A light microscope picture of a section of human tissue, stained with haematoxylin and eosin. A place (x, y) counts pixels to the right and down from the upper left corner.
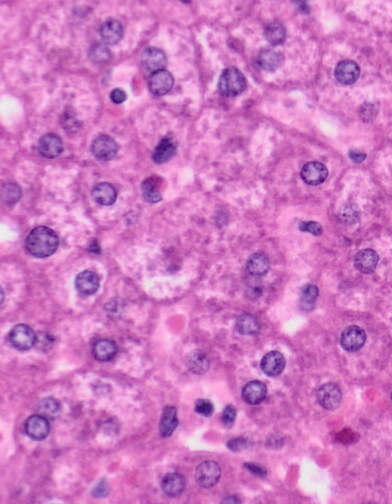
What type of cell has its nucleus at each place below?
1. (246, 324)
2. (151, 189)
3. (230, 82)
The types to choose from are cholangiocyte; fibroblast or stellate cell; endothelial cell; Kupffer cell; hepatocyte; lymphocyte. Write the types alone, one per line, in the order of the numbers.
hepatocyte
endothelial cell
hepatocyte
